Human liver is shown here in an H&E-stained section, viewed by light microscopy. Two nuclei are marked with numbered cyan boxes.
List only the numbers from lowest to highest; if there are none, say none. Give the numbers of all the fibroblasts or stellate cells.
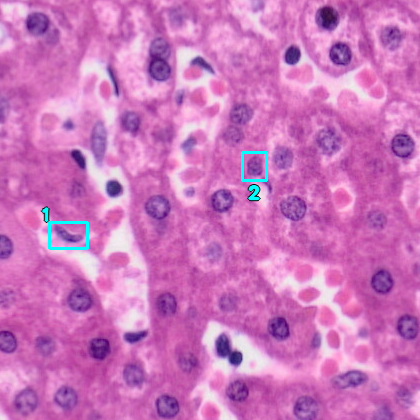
2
